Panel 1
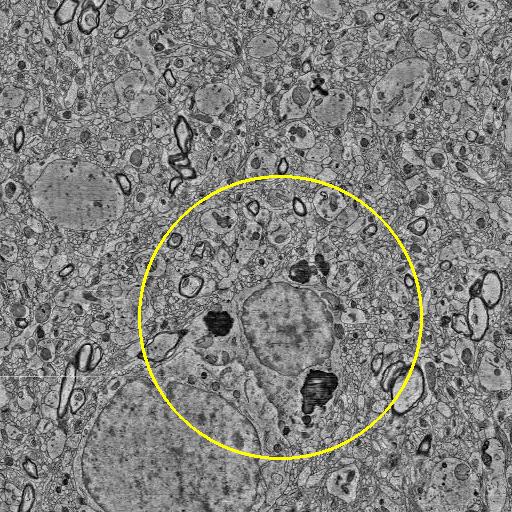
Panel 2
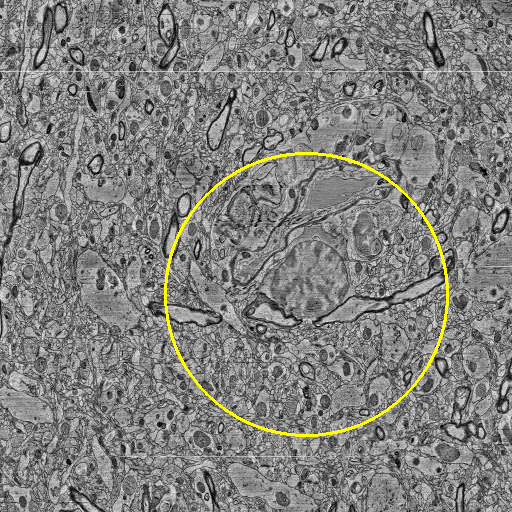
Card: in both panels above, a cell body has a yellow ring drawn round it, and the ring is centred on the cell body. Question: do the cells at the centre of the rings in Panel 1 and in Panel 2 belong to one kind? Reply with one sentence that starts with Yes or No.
Yes, the cells centred in the rings of Panel 1 and Panel 2 are one kind of cell.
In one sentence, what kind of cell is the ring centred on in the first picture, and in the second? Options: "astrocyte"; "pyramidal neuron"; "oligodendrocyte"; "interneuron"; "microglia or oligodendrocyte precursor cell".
Both pictures show an oligodendrocyte at the centre of the ring.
